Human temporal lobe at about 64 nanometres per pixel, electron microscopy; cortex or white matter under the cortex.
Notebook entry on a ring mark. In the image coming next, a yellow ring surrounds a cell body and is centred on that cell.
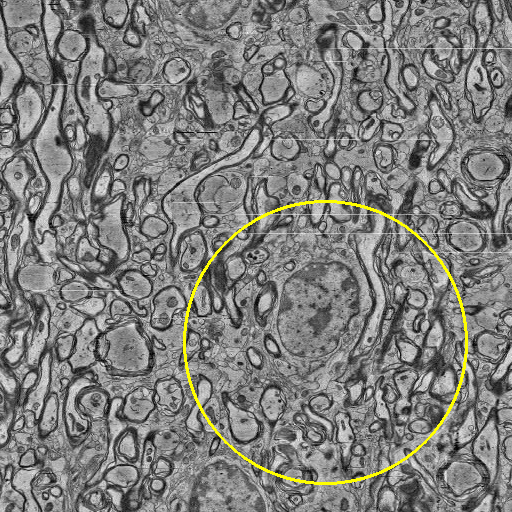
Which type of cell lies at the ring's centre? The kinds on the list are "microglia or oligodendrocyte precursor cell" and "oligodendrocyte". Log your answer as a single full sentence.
Centred in the yellow ring is a microglial cell or oligodendrocyte precursor cell, the cell recorded for this image.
